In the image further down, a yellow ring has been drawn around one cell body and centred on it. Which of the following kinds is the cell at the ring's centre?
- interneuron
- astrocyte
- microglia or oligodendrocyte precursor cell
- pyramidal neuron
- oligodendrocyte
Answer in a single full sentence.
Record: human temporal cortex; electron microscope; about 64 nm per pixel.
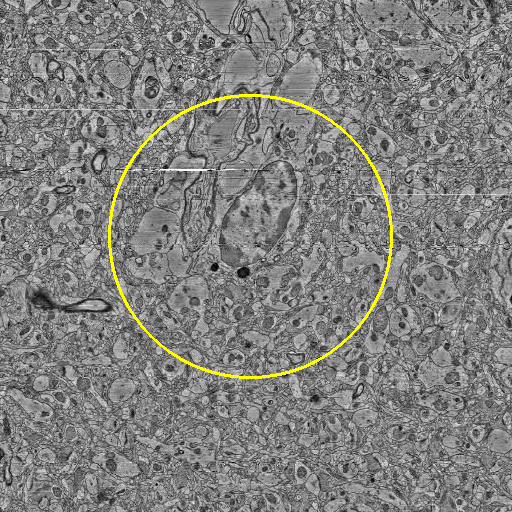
In the picture, the cell sitting at the centre of the yellow ring is a microglial cell or oligodendrocyte precursor cell.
